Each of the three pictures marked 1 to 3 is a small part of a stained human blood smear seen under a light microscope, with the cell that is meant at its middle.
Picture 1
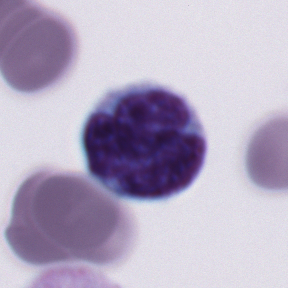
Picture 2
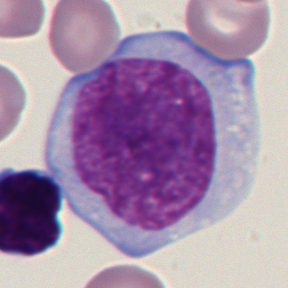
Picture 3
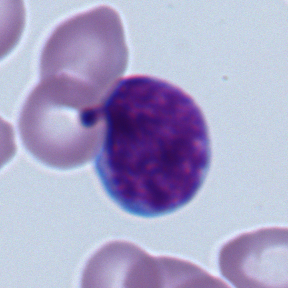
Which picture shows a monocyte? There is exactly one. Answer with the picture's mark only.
1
